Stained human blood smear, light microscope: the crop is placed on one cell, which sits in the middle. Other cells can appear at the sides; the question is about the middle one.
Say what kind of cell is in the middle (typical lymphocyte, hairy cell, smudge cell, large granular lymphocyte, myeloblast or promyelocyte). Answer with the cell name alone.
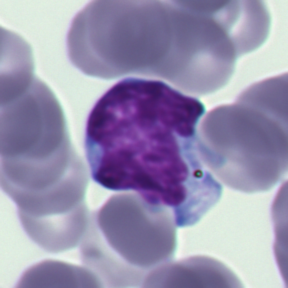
typical lymphocyte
